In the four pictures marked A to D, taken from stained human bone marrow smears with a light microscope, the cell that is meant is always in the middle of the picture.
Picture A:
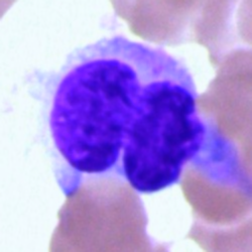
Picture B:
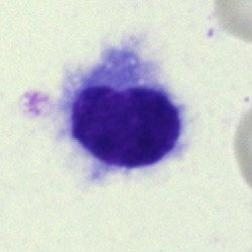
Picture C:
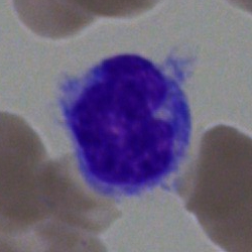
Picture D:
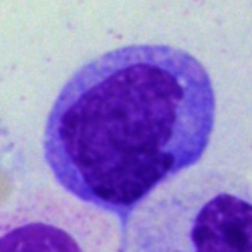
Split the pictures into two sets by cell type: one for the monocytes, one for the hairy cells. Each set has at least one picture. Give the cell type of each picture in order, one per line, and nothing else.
hairy cell
hairy cell
monocyte
monocyte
